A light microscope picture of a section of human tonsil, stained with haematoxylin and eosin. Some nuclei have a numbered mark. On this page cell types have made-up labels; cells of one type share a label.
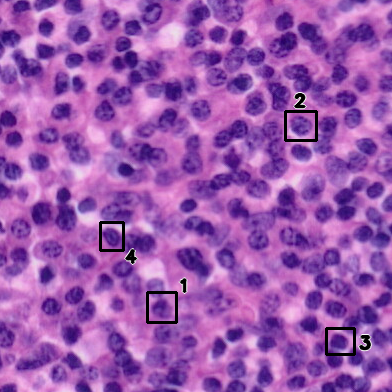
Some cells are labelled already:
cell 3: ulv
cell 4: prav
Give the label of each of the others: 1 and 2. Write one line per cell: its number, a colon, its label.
1: prav
2: prav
